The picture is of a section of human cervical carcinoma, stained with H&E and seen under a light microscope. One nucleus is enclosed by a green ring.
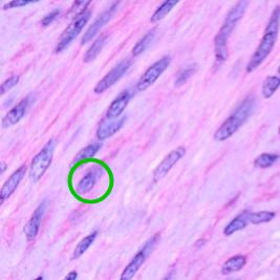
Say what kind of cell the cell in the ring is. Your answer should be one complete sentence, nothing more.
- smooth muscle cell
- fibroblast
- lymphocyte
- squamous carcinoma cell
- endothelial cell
The cell type represented by the cell in the ring is that of a smooth muscle cell.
